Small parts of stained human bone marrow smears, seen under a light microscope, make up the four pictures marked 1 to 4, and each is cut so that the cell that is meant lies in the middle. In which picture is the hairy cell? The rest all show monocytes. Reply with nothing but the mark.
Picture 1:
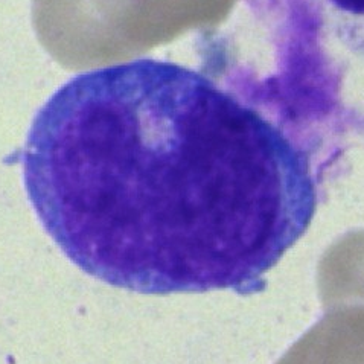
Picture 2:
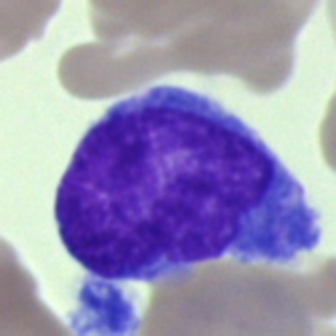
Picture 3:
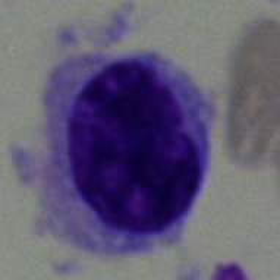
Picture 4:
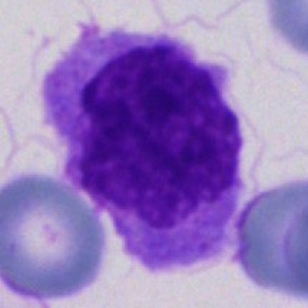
3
